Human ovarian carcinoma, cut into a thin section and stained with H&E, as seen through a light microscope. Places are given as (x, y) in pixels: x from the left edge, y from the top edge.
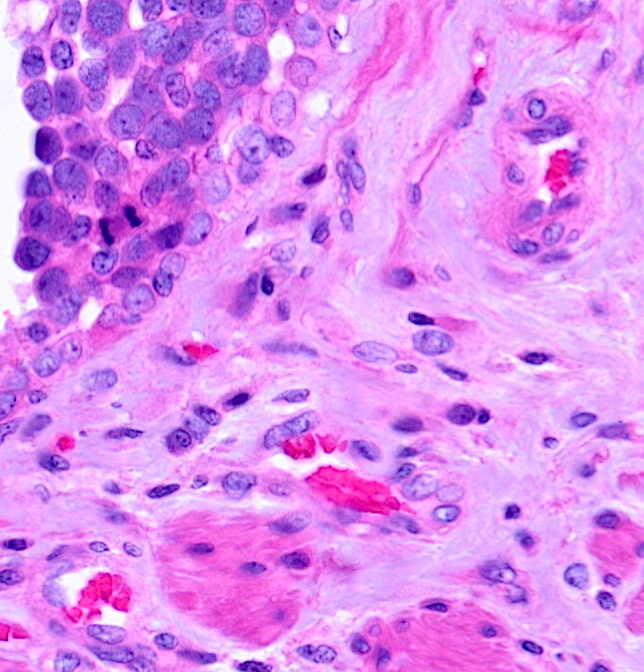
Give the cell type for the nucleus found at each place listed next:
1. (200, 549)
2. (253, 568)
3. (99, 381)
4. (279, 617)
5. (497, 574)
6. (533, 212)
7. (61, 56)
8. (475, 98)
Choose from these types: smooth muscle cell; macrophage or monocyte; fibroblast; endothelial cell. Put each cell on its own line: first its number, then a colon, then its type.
1: smooth muscle cell
2: smooth muscle cell
3: fibroblast
4: smooth muscle cell
5: endothelial cell
6: endothelial cell
7: macrophage or monocyte
8: endothelial cell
